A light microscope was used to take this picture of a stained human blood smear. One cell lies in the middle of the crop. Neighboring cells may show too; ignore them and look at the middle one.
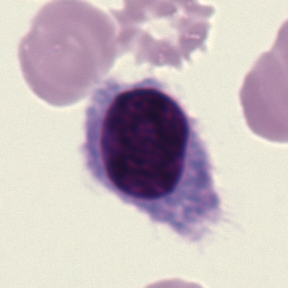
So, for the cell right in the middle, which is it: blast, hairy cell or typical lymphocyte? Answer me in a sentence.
The middle of this crop holds a hairy cell.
